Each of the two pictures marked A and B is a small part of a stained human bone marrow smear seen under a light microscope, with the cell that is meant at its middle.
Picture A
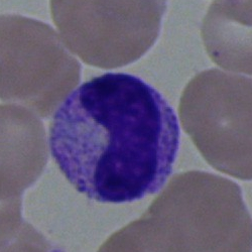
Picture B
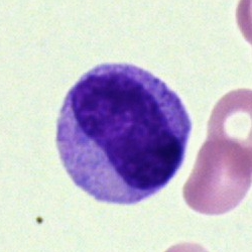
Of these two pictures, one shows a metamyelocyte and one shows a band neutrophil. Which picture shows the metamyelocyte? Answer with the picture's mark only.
B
